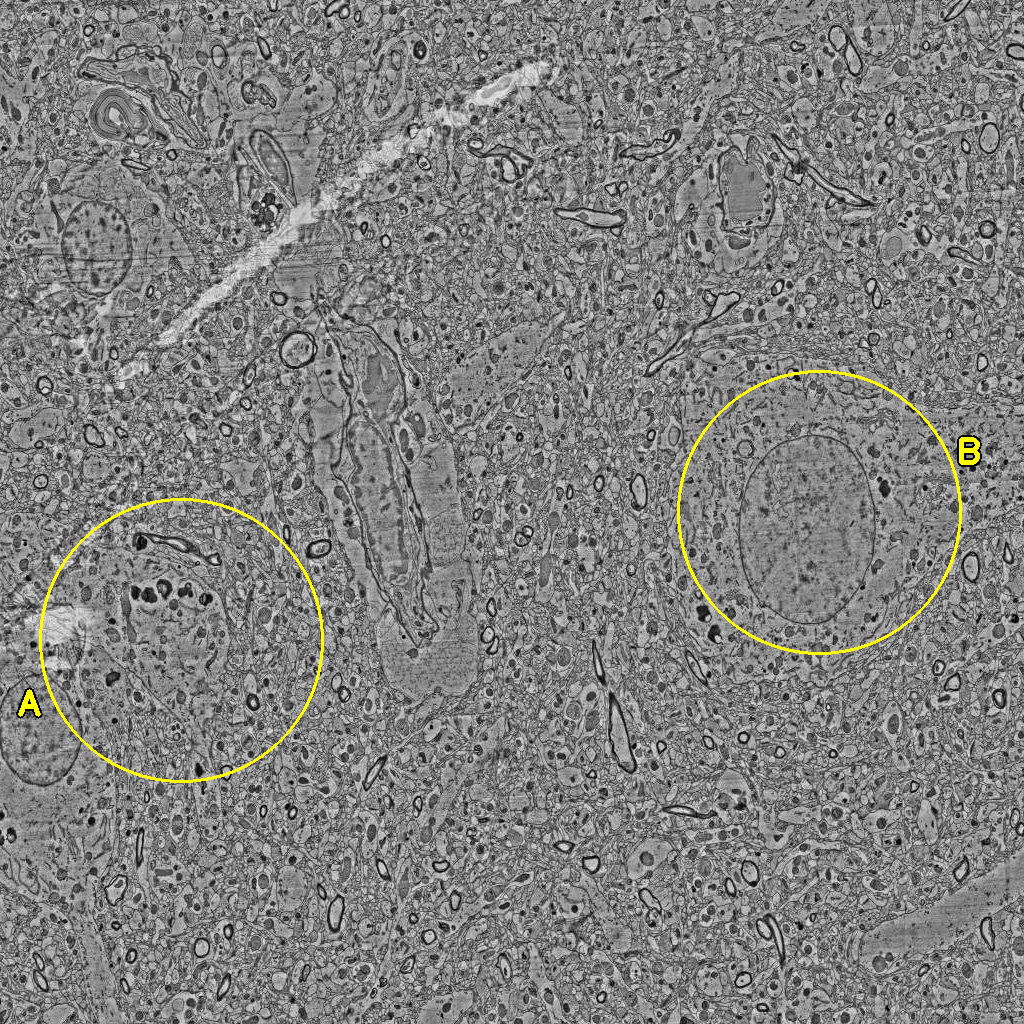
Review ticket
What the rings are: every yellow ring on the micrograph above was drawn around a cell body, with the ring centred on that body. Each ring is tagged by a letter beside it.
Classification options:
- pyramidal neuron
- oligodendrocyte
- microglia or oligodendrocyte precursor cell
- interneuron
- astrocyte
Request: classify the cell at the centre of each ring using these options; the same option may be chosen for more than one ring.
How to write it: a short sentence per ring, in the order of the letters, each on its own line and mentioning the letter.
The cell centred in ring A is a pyramidal neuron.
The cell centred in ring B is a pyramidal neuron.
